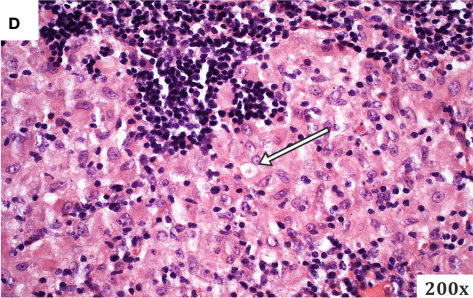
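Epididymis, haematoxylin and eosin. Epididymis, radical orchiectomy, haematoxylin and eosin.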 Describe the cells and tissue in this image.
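A sheet of epithelioid cells with plentiful pink cytoplasm and oval, pale nuclei with small nucleoli forms the bulk of the field. At the upper left and lower edge, dense clusters of small round lymphocytes with dark purple nuclei border the granuloma, and a small asteroid body lies in a clear space among the epithelioid cells.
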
